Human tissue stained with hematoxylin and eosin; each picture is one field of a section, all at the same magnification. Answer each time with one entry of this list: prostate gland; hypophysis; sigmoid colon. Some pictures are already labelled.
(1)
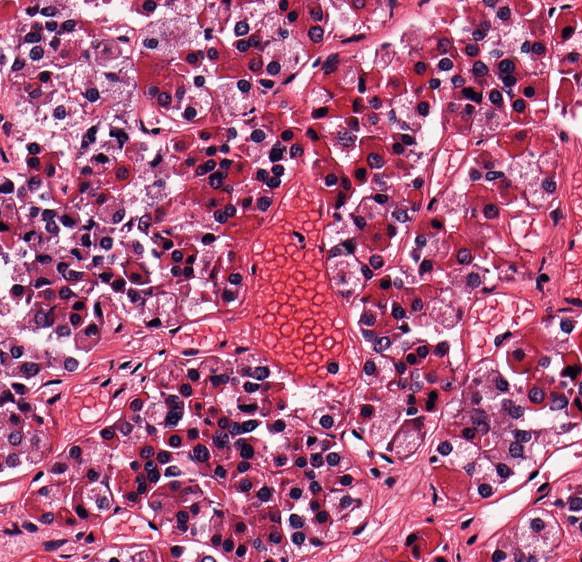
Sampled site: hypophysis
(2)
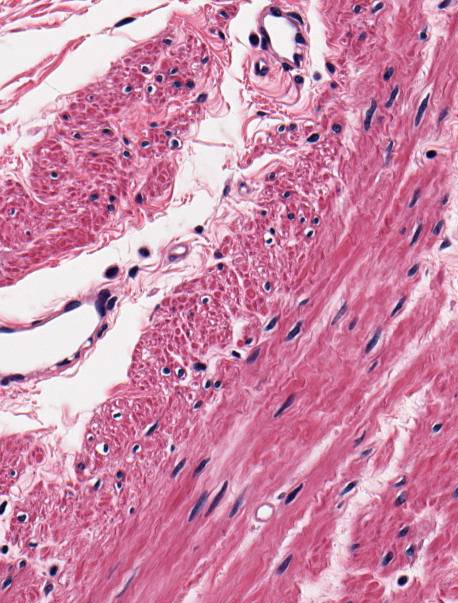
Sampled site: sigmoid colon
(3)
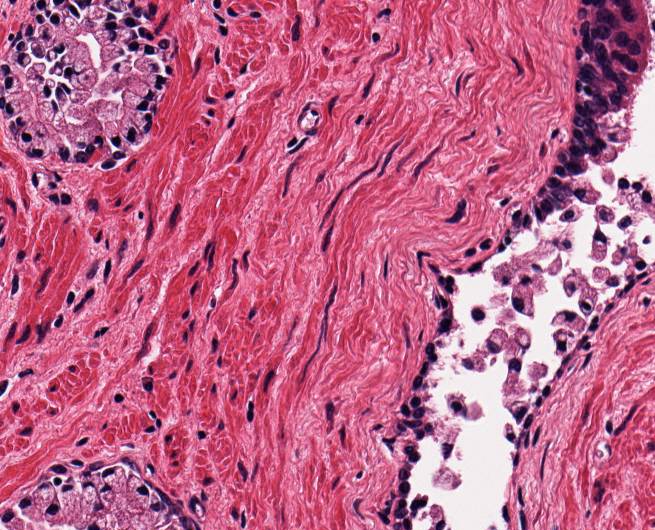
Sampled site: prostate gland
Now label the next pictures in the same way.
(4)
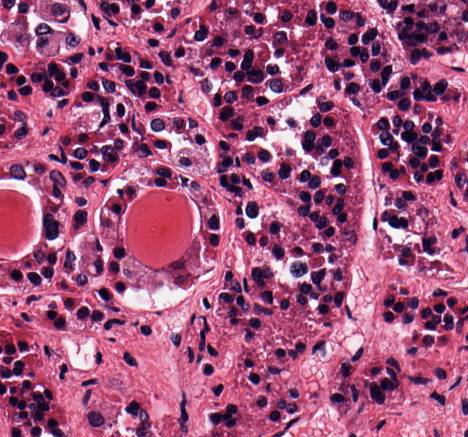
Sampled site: hypophysis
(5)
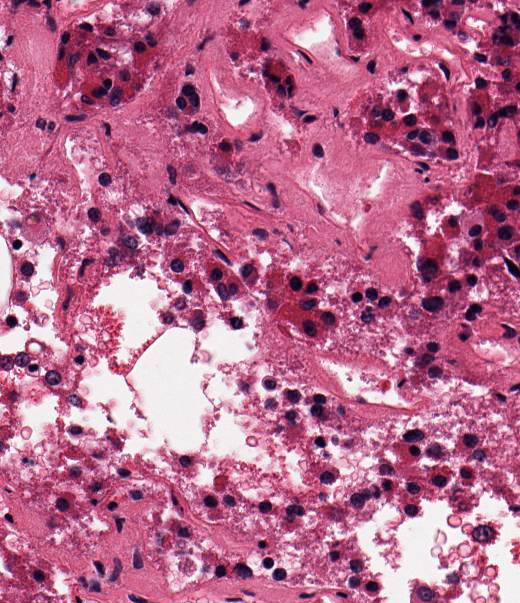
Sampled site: hypophysis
